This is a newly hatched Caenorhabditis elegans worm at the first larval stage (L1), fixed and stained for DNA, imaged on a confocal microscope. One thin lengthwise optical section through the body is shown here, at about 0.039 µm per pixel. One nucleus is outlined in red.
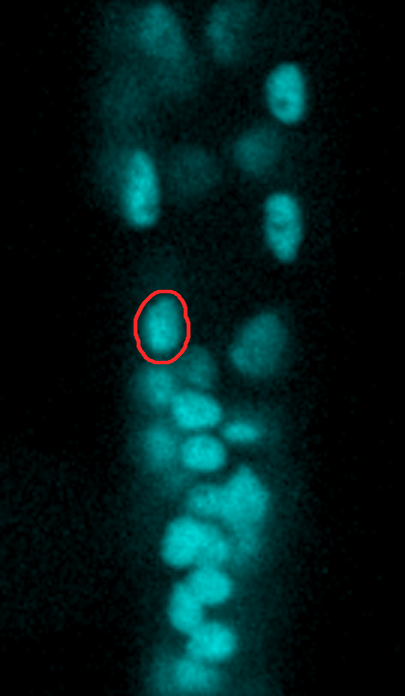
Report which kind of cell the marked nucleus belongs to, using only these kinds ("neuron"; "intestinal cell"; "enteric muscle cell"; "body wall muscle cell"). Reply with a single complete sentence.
The cell with the marked nucleus is an enteric muscle cell.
